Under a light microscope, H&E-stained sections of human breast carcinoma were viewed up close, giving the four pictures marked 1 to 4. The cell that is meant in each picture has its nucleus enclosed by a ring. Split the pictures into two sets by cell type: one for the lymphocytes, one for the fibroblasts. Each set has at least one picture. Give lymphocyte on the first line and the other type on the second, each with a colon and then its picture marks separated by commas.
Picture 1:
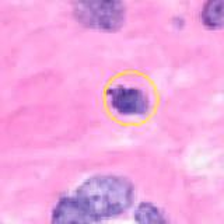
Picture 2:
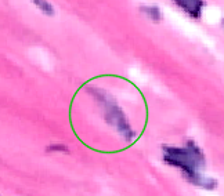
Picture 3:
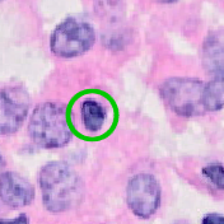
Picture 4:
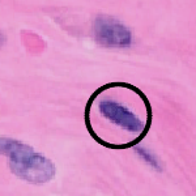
lymphocyte: 1, 3, 4
fibroblast: 2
